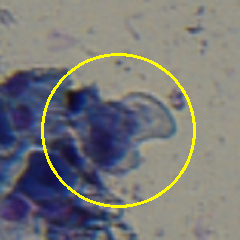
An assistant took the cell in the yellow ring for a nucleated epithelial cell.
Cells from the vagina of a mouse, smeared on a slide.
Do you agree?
I agree, it is a nucleated epithelial cell.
